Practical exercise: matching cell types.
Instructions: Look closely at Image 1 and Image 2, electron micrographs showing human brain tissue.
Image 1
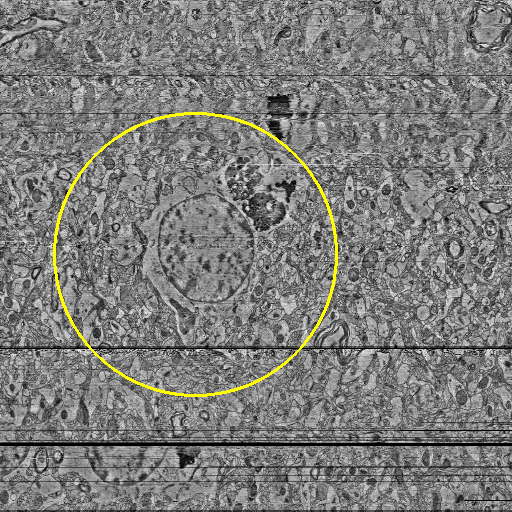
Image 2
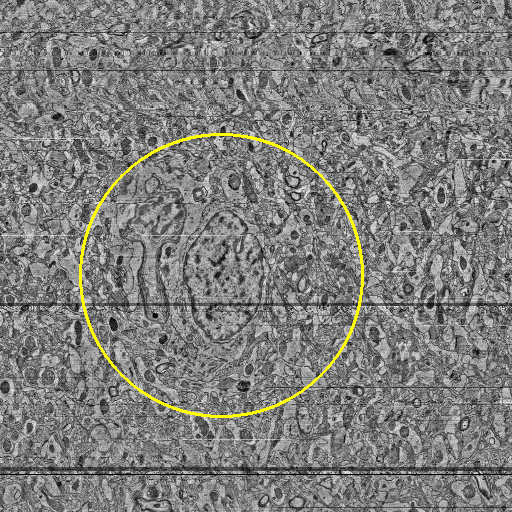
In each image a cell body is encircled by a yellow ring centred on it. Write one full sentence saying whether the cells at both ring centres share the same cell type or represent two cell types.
Across Image 1 and Image 2, the cells at the ring centres represent two cell types.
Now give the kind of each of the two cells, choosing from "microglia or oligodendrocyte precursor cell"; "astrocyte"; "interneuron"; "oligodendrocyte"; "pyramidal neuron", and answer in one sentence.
The cell in the first picture is an astrocyte, and the cell in the second is a microglial cell or oligodendrocyte precursor cell.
